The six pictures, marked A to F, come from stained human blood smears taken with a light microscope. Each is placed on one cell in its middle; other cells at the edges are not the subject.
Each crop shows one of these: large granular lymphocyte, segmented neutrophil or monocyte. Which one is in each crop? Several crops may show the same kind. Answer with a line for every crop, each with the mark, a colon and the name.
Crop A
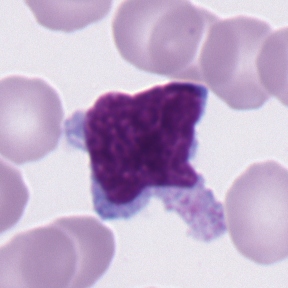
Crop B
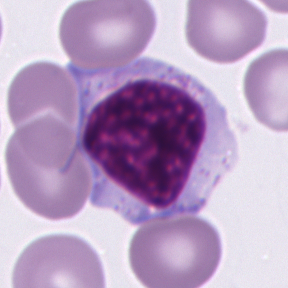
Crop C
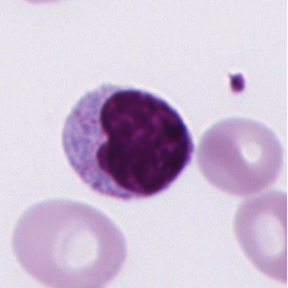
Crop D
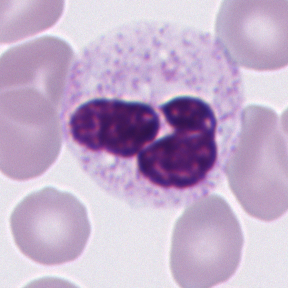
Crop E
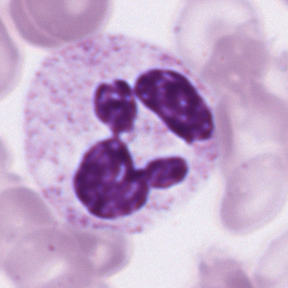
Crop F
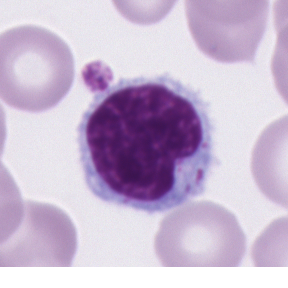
A: large granular lymphocyte
B: large granular lymphocyte
C: large granular lymphocyte
D: segmented neutrophil
E: segmented neutrophil
F: large granular lymphocyte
